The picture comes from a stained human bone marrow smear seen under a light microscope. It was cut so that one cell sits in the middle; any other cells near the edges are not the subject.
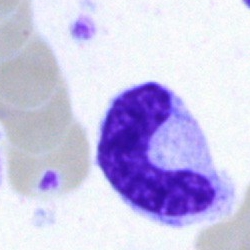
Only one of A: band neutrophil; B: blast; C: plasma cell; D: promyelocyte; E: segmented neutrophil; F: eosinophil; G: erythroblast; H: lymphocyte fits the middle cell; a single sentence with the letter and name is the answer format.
Option A correctly states that the central cell is a band neutrophil.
